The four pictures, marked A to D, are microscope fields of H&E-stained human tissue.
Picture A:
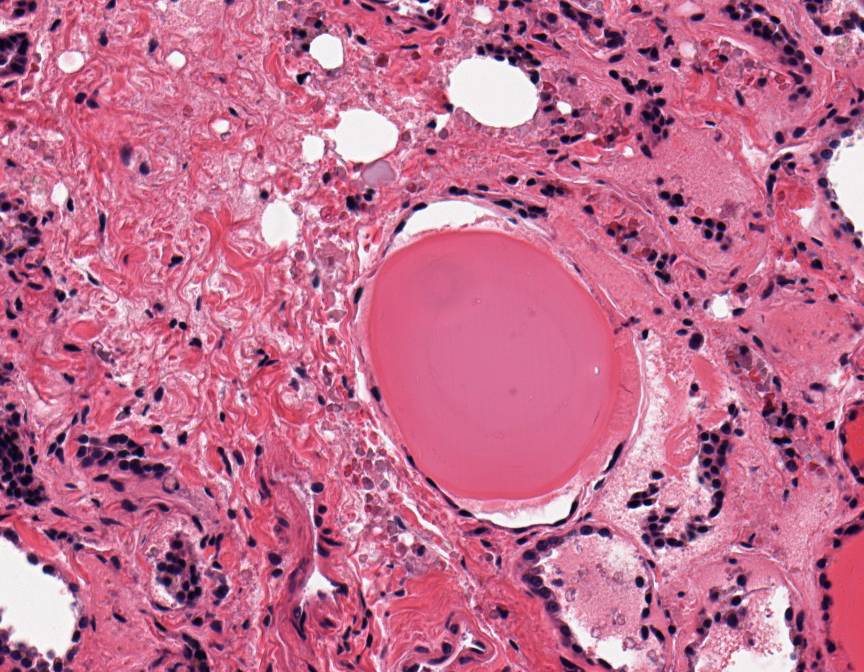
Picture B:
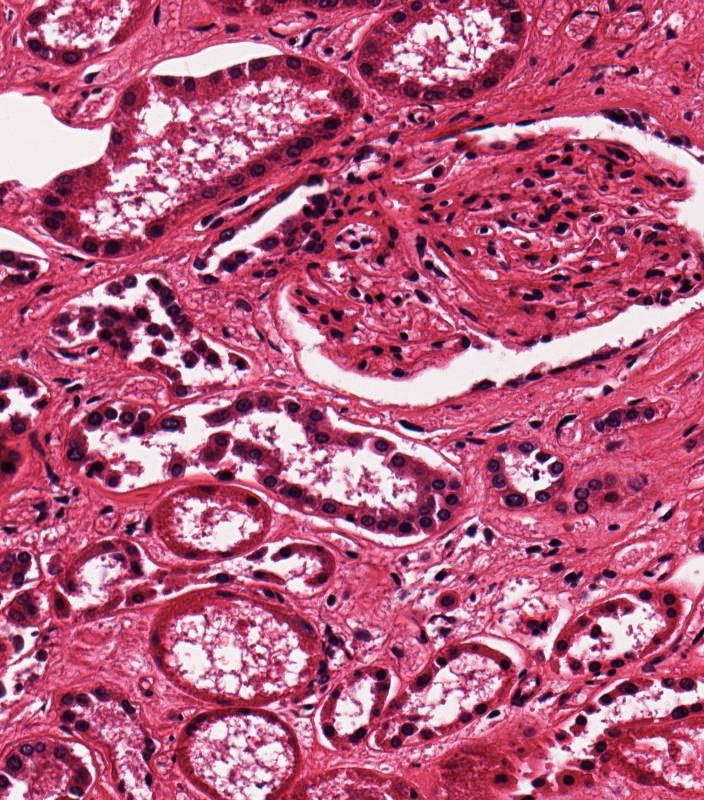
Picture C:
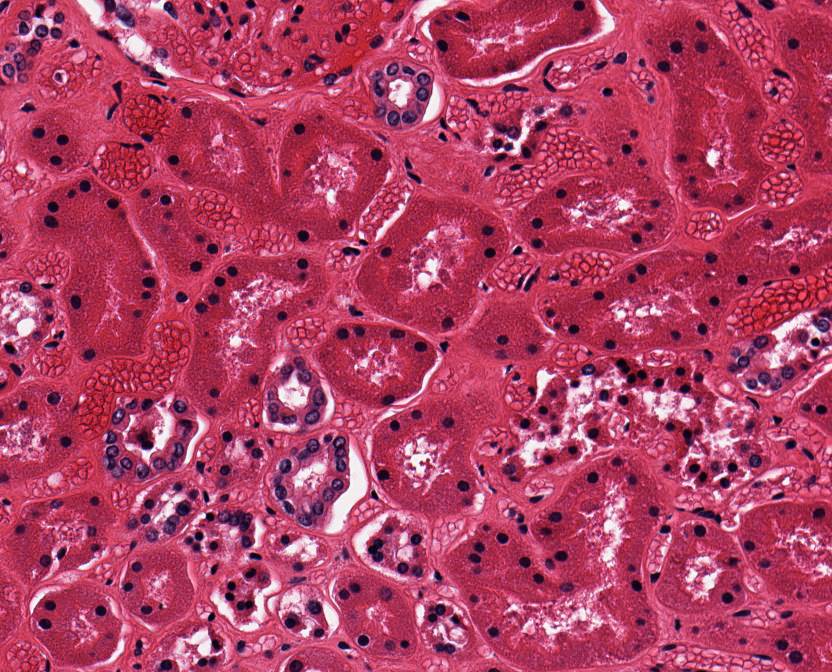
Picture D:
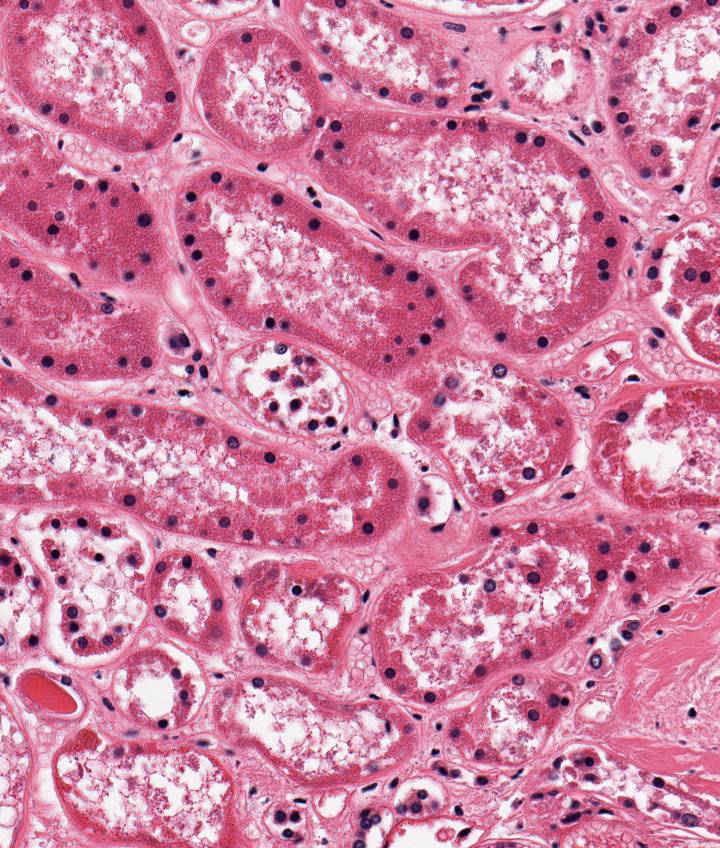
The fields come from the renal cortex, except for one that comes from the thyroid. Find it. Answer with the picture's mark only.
A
